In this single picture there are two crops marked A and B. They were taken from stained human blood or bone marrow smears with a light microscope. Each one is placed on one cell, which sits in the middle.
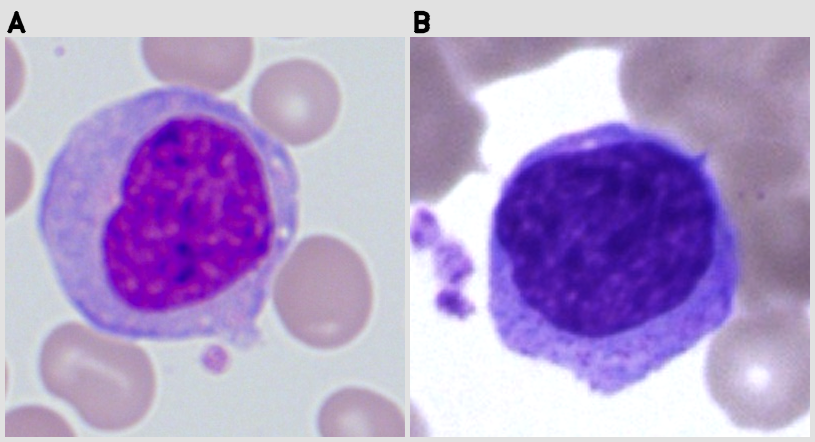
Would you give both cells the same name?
no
